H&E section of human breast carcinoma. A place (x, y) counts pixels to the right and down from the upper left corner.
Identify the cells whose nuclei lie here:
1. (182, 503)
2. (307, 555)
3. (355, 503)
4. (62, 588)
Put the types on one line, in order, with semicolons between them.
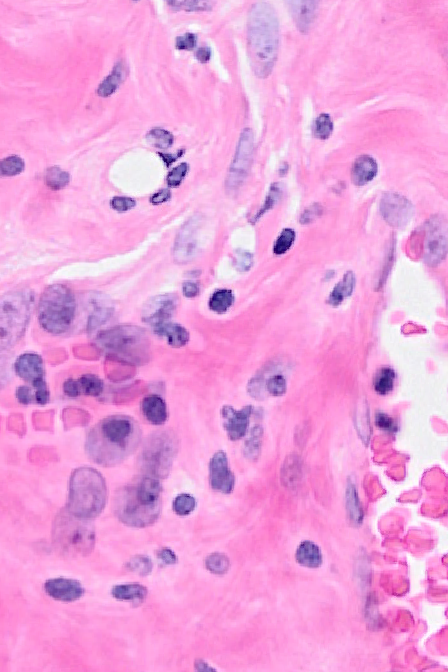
lymphocyte; lymphocyte; endothelial cell; lymphocyte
